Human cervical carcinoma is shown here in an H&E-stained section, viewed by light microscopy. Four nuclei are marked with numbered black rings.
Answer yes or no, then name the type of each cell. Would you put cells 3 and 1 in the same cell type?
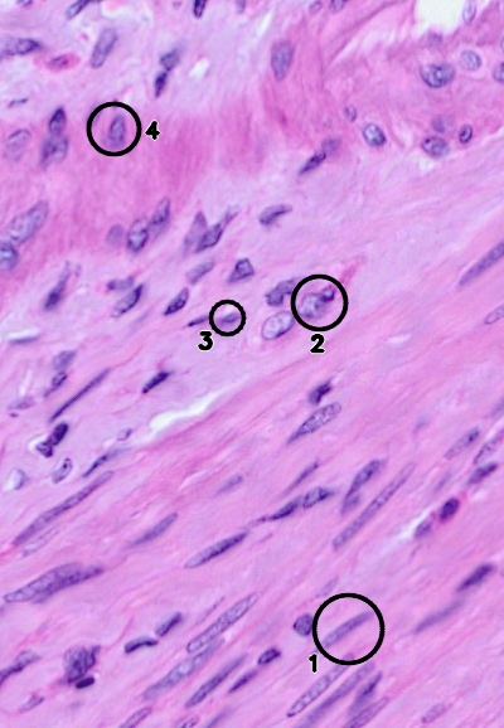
Yes, both are fibroblasts.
